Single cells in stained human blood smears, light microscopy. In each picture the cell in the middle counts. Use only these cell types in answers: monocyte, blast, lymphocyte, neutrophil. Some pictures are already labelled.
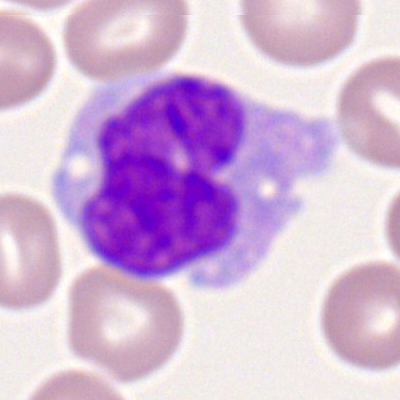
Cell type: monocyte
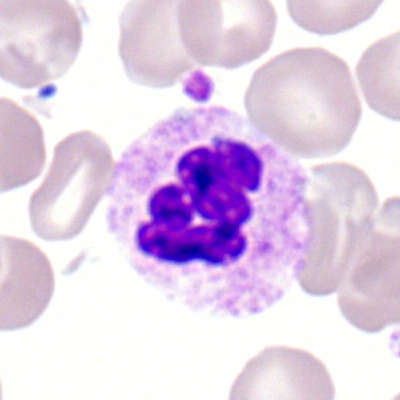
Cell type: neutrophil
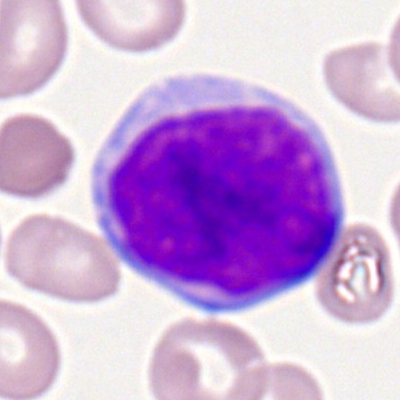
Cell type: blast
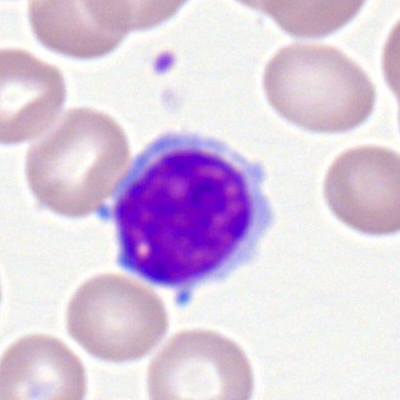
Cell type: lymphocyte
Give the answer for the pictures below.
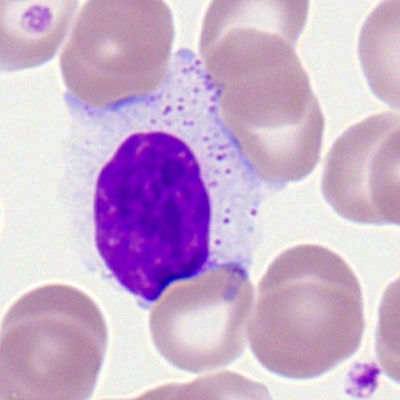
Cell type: lymphocyte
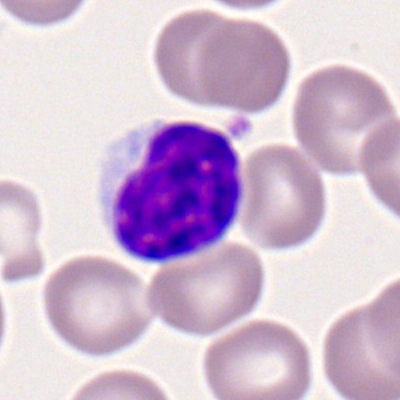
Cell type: lymphocyte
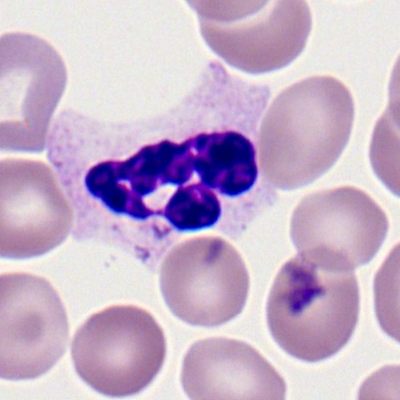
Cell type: neutrophil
